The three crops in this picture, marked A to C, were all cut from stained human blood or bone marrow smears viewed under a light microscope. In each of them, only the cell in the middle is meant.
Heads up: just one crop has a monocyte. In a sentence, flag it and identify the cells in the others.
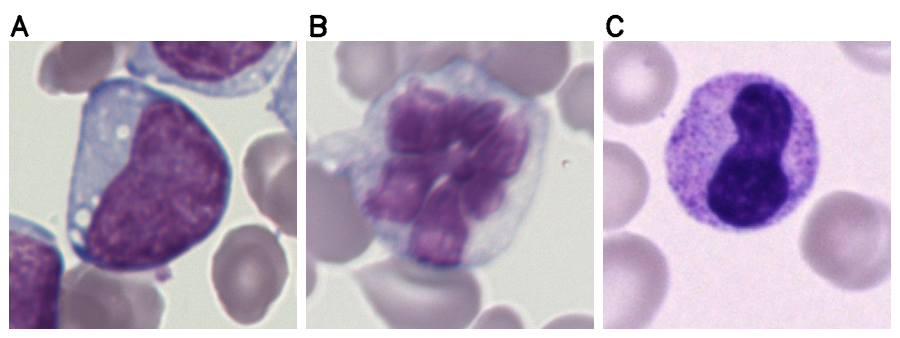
Summary: crop B shows a monocyte, while crop A is a blast and crop C is a band neutrophil.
